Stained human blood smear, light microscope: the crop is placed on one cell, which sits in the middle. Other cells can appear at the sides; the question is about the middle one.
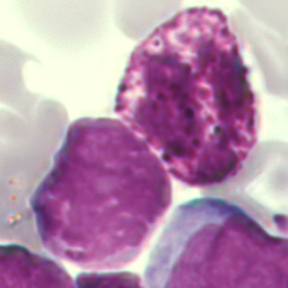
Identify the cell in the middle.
basophil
